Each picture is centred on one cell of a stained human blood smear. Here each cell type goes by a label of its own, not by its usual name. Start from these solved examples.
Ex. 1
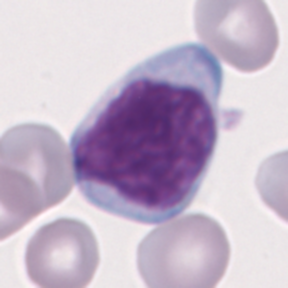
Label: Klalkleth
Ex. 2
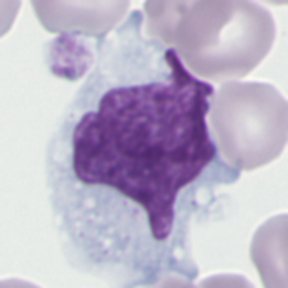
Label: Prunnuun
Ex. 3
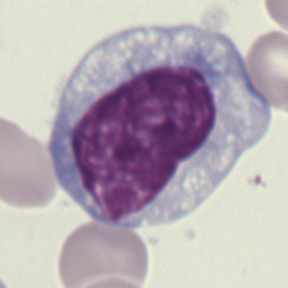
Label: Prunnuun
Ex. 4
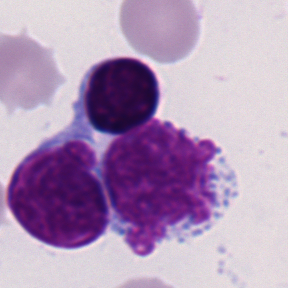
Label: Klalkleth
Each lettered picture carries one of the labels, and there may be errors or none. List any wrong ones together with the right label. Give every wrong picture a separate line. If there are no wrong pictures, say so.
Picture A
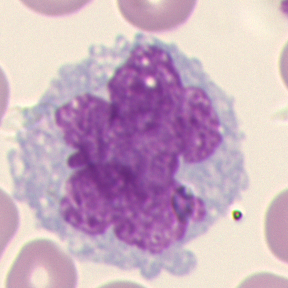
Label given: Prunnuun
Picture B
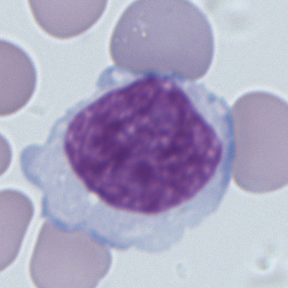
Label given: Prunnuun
B should be Klalkleth, not Prunnuun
